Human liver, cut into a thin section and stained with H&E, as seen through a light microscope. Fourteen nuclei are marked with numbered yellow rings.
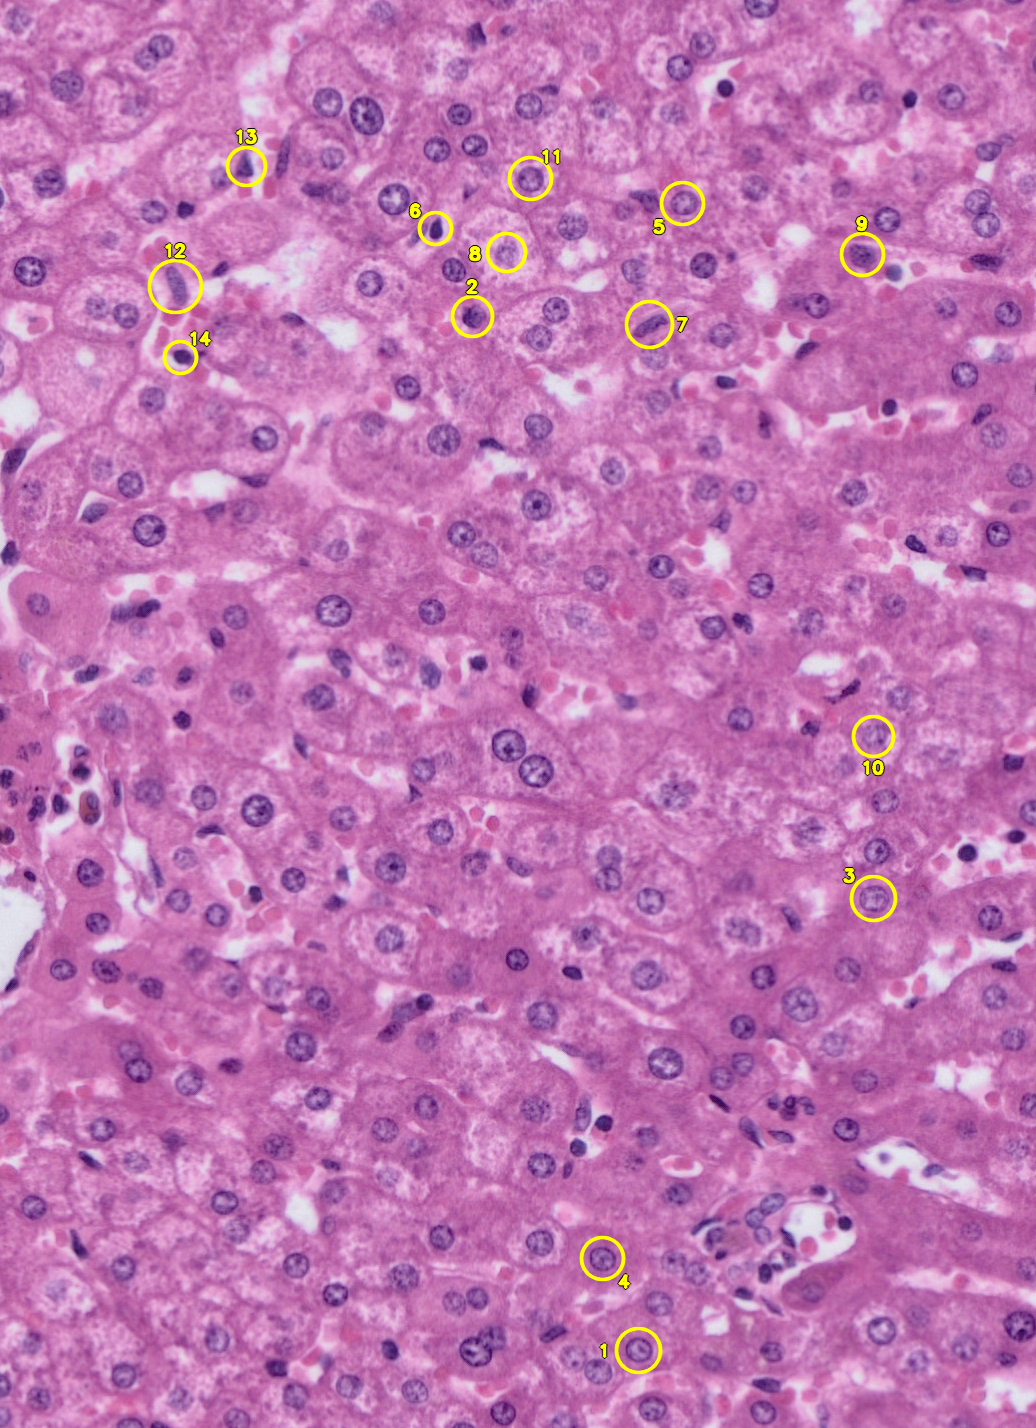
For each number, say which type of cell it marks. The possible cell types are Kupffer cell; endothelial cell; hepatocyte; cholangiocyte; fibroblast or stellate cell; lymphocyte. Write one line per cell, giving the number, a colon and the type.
1: hepatocyte
2: endothelial cell
3: hepatocyte
4: hepatocyte
5: hepatocyte
6: lymphocyte
7: Kupffer cell
8: hepatocyte
9: Kupffer cell
10: hepatocyte
11: hepatocyte
12: Kupffer cell
13: endothelial cell
14: lymphocyte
